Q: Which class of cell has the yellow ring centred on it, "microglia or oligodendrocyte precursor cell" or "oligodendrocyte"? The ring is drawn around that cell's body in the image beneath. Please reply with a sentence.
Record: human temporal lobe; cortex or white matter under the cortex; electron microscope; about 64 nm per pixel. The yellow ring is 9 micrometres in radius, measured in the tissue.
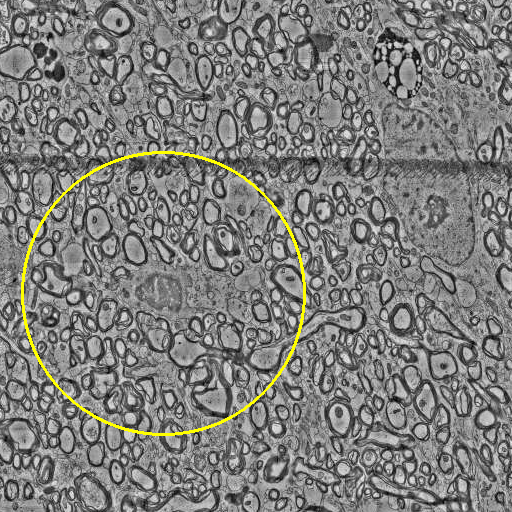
It is centred on an oligodendrocyte.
